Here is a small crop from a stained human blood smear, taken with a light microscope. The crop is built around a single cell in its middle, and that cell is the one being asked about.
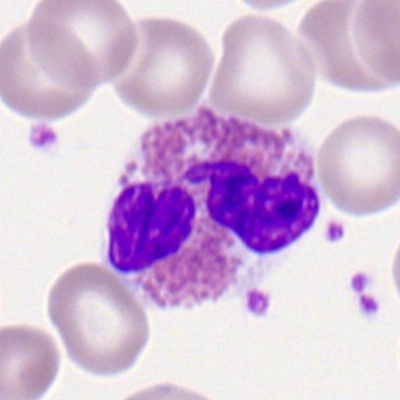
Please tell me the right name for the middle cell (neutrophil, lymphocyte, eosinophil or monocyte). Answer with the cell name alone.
eosinophil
